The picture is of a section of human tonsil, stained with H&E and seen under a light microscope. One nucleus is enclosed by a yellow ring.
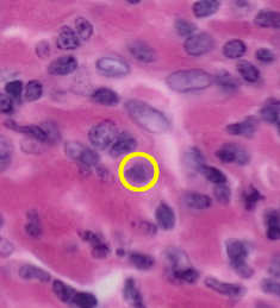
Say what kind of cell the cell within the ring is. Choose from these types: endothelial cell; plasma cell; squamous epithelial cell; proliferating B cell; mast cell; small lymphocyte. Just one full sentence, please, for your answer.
The expected answer is simply that the cell within the ring is a mast cell.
